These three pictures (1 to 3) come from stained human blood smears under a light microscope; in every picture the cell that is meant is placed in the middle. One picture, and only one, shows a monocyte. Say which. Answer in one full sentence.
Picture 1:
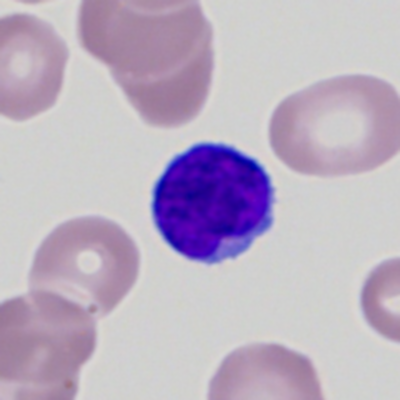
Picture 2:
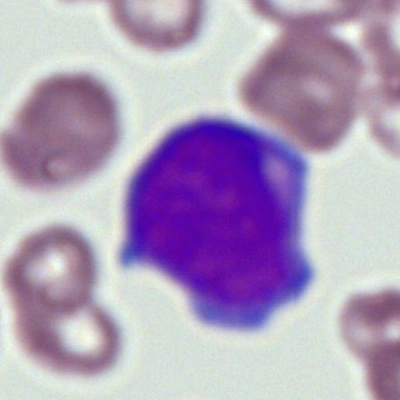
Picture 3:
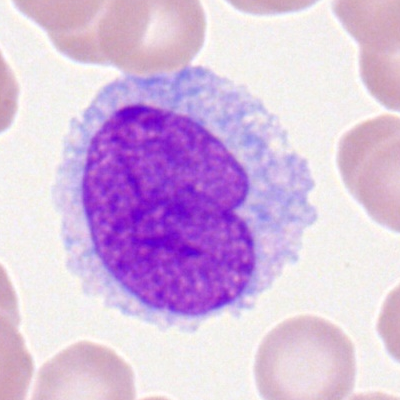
Picture 3 is the one that shows the monocyte.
